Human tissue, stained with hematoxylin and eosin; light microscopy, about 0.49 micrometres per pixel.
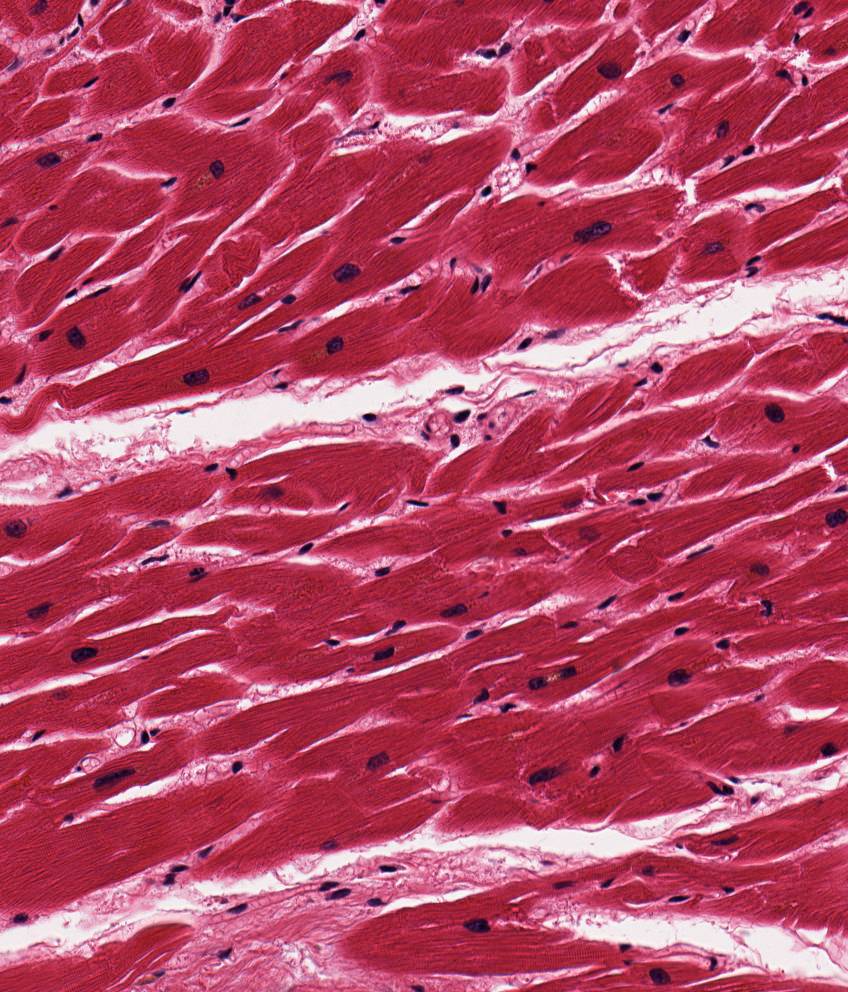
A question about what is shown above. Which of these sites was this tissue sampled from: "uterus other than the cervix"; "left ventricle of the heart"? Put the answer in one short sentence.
The site this tissue was sampled from is the left ventricle of the heart.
